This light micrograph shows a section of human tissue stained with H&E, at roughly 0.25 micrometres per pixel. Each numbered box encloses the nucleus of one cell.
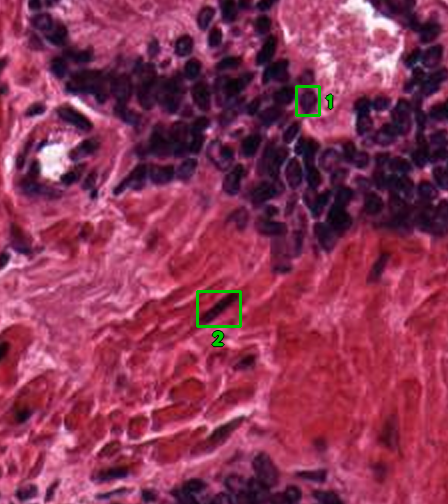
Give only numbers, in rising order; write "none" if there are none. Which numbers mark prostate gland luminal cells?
1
